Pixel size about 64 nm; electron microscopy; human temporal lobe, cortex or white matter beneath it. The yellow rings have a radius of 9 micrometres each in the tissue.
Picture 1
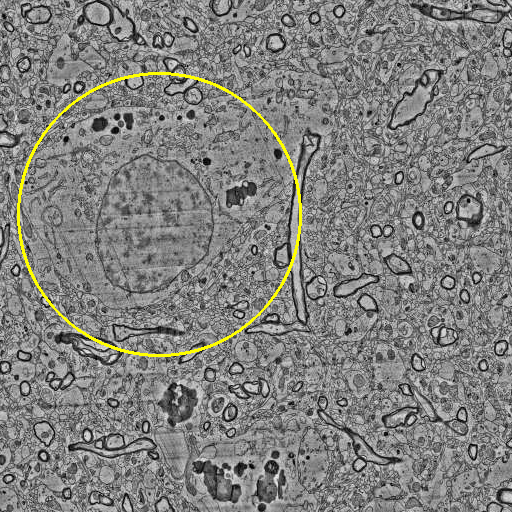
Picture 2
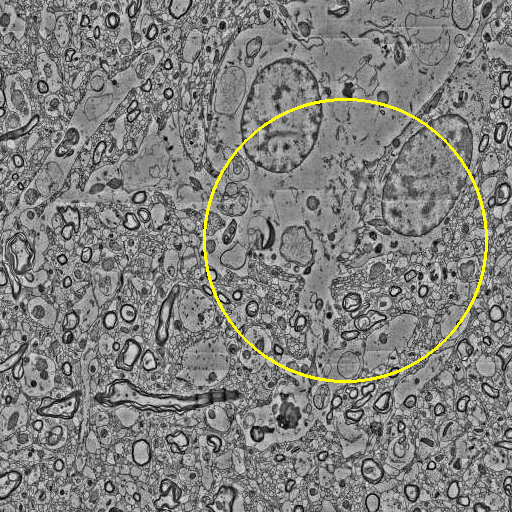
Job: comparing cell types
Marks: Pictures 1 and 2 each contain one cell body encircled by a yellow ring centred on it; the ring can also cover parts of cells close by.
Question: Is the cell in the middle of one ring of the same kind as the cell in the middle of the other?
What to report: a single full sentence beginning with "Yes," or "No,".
No, the cell at the ring centre in Picture 1 and its partner in Picture 2 are of two kinds.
